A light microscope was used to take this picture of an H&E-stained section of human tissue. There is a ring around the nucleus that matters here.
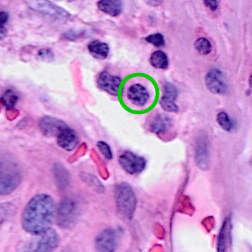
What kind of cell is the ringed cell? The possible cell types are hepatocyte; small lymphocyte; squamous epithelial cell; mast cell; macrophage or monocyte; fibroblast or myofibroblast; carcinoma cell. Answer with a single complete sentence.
The category to which the ringed cell belongs is that of a mast cell.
